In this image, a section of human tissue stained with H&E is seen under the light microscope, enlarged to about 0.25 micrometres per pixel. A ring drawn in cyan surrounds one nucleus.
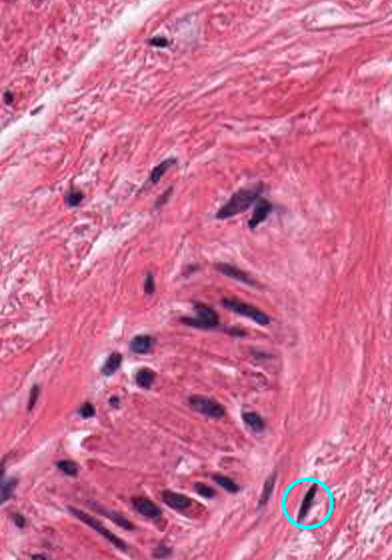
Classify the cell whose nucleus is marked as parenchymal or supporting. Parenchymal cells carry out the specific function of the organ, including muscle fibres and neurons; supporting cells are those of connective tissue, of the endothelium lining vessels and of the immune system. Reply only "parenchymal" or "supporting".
supporting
